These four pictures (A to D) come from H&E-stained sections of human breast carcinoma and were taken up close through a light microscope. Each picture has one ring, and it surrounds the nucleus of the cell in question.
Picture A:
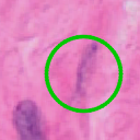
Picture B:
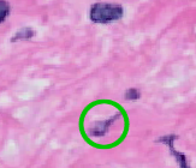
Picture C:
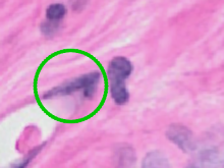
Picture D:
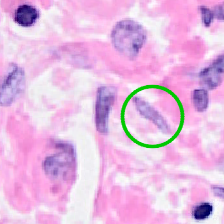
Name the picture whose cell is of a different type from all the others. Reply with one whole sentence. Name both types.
Picture C differs, because its cell is an endothelial cell and the rest are fibroblasts.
